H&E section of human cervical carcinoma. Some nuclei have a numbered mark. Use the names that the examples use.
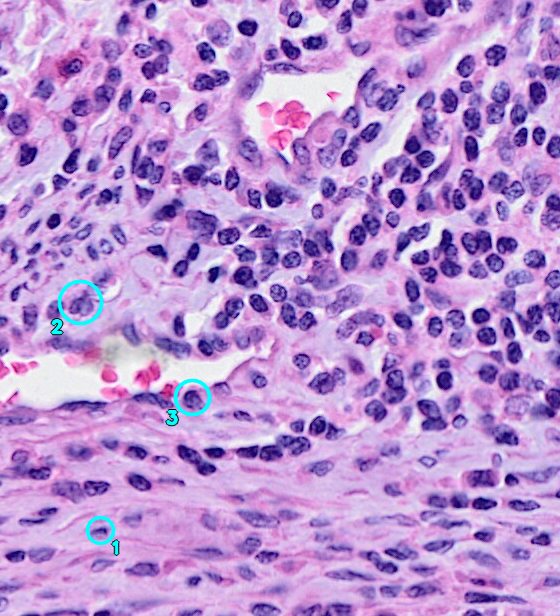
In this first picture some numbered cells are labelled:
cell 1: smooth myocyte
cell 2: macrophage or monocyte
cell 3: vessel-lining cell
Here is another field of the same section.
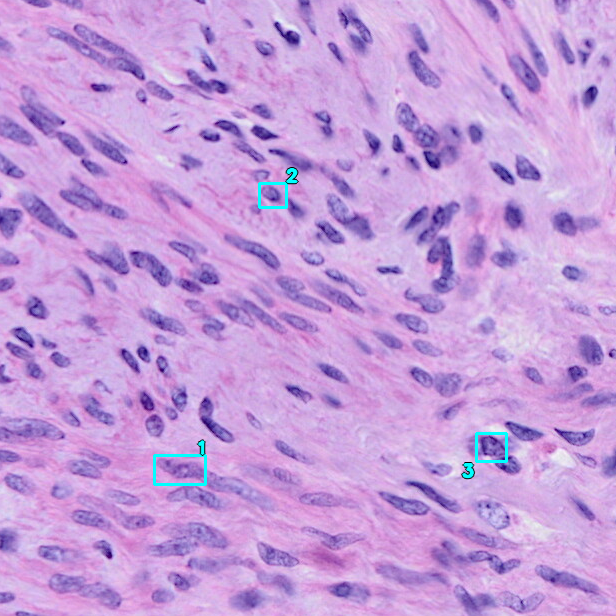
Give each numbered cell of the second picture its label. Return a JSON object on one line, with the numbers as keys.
{"1": "smooth myocyte", "2": "smooth myocyte", "3": "vessel-lining cell"}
